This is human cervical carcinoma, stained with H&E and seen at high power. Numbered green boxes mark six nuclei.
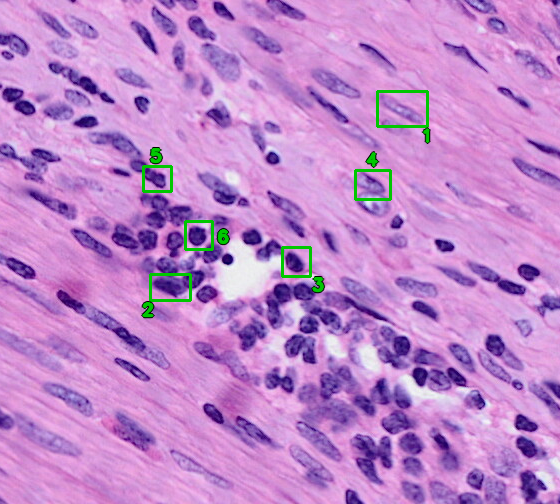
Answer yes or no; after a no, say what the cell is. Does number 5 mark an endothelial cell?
No, it is a lymphocyte.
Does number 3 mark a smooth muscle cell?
No, it is a lymphocyte.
